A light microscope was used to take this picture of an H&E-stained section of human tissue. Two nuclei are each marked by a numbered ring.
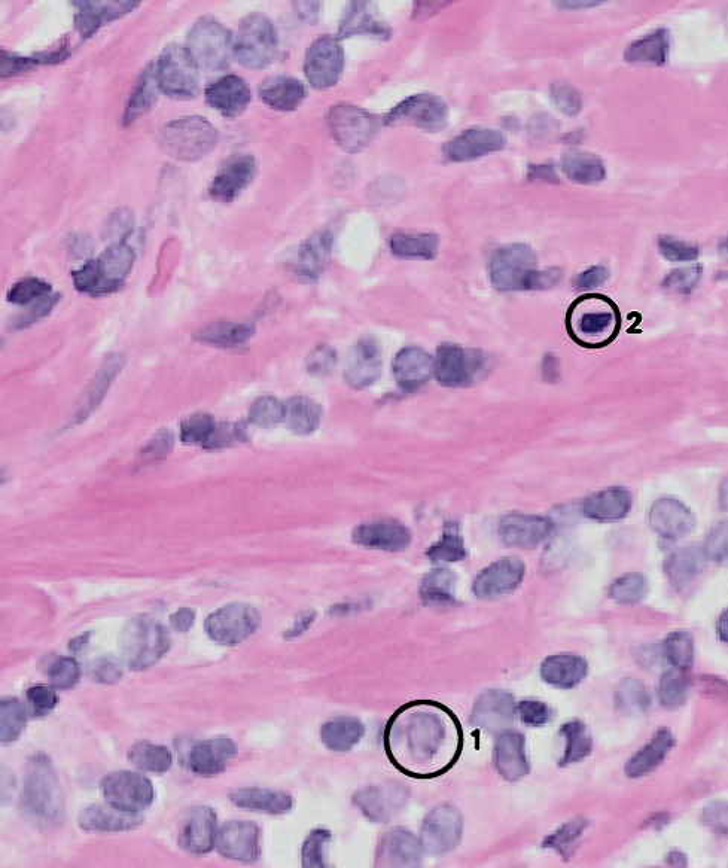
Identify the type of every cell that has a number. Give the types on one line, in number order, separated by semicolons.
carcinoma cell; lymphocyte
